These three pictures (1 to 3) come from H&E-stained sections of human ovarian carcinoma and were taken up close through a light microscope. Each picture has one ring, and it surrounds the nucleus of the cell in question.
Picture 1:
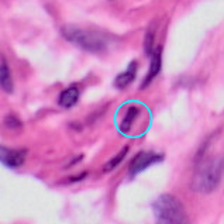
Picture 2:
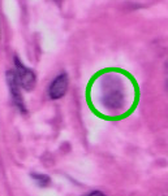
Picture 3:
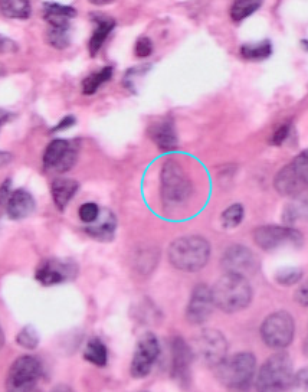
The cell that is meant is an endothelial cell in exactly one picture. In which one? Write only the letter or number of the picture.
3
